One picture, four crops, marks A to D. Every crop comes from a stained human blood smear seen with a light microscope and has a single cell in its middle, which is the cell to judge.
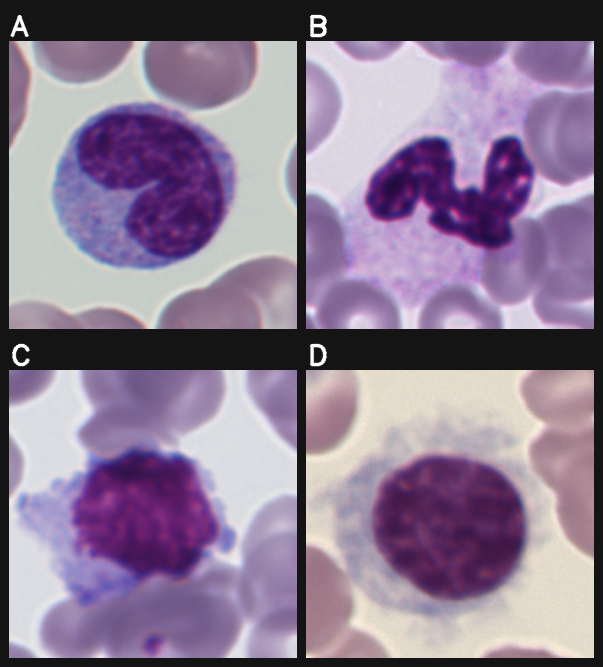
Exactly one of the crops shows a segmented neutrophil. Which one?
B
